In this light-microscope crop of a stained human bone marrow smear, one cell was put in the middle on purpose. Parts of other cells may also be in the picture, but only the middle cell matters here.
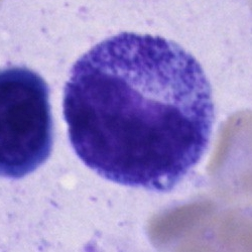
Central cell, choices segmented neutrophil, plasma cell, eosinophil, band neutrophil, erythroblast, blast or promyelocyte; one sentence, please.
Located at the centre of the crop is a promyelocyte.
